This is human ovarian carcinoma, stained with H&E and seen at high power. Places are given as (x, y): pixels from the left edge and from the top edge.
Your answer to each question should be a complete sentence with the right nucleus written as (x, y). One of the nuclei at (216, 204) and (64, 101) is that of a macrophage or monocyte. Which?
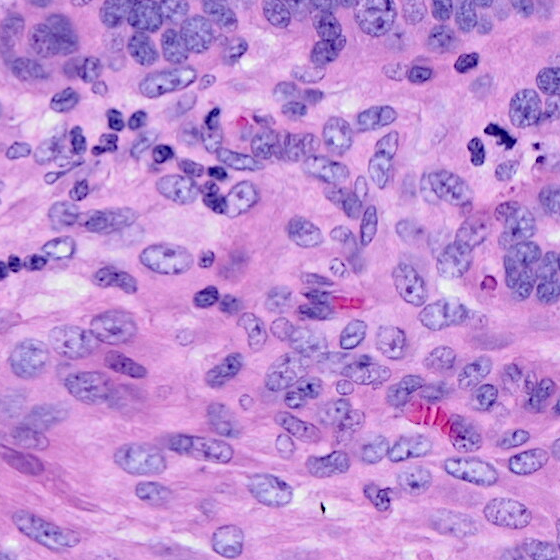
Between the pair, the nucleus at (64, 101) belongs to a macrophage or monocyte.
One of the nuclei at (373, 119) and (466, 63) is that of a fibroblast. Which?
That would be the nucleus at (373, 119); it belongs to a fibroblast.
